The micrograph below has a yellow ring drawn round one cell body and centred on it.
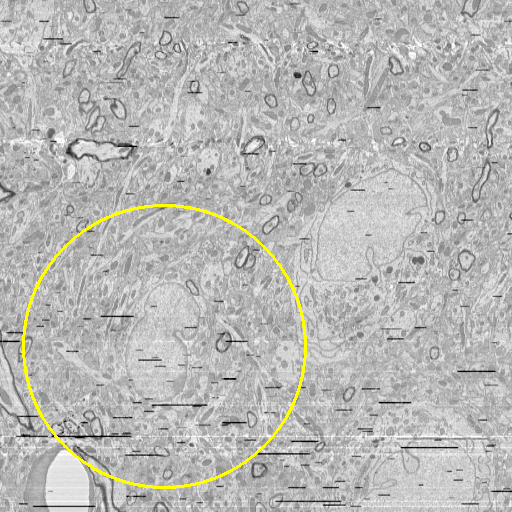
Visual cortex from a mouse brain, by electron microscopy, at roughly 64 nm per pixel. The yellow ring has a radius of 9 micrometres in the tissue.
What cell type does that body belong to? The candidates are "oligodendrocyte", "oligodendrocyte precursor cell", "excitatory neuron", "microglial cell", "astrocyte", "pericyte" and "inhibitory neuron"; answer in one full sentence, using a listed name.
This is an astrocyte, the cell whose body lies at the centre of the ring.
